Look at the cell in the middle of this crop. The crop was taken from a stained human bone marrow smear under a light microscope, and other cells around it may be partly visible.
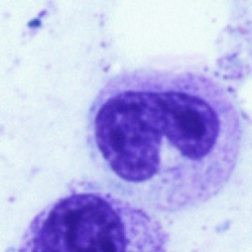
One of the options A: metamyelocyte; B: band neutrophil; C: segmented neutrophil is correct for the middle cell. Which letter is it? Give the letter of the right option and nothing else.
B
